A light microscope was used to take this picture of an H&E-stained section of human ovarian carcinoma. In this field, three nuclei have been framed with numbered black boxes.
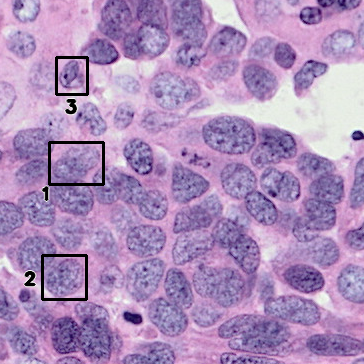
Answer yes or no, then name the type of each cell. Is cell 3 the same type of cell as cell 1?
No, cell 3 is a macrophage or monocyte and cell 1 is a carcinoma cell.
